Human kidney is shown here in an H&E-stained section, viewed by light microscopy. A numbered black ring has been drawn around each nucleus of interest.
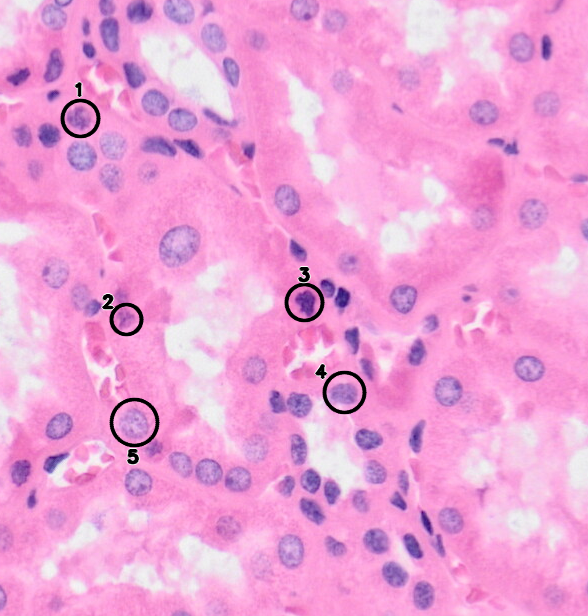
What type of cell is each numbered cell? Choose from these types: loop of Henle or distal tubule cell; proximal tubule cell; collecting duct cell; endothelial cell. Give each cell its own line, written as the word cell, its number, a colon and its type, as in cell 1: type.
cell 1: loop of Henle or distal tubule cell
cell 2: proximal tubule cell
cell 3: proximal tubule cell
cell 4: loop of Henle or distal tubule cell
cell 5: proximal tubule cell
